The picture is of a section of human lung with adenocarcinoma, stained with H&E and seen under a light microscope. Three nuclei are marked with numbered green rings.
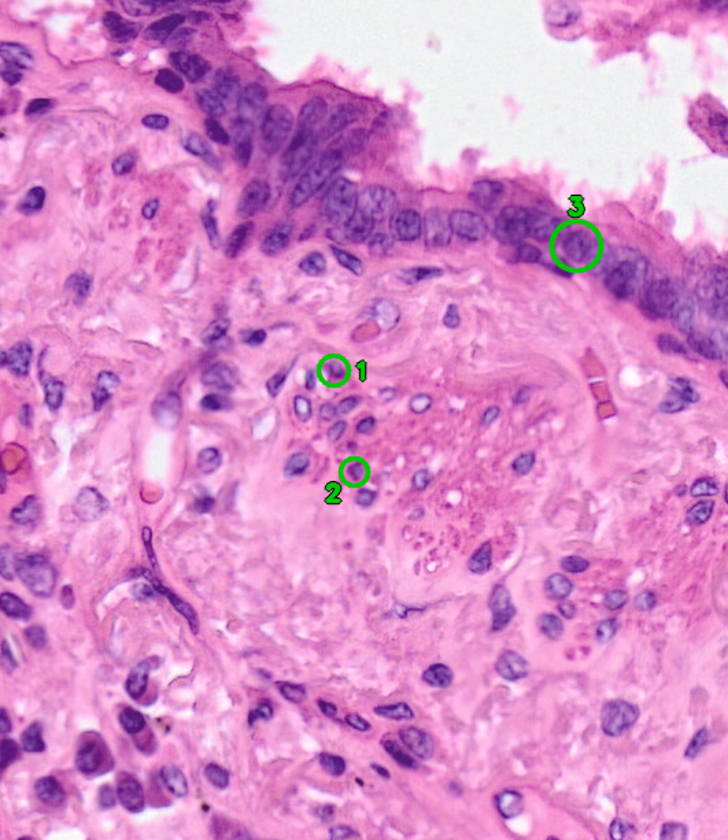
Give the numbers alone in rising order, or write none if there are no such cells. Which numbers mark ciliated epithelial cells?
3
